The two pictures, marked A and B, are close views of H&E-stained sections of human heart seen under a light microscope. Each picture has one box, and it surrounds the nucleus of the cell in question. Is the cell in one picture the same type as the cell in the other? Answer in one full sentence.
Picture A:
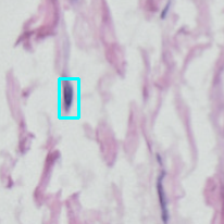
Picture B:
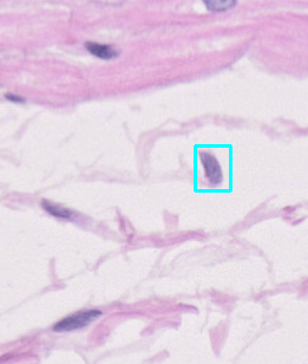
Yes, the two pictures both show fibroblasts.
